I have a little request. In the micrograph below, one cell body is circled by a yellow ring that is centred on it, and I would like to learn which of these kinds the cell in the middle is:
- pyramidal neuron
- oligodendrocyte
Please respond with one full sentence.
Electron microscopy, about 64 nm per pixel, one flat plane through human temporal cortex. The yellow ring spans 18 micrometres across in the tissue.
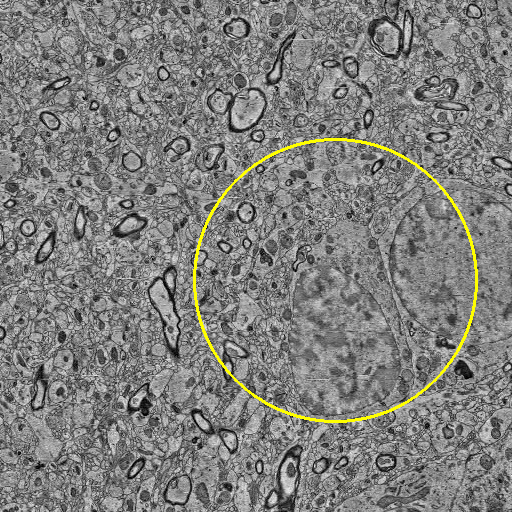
The cell sitting in the middle of the yellow ring in the micrograph is an oligodendrocyte.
